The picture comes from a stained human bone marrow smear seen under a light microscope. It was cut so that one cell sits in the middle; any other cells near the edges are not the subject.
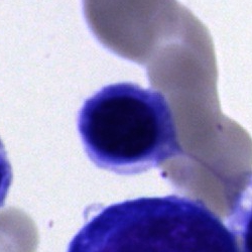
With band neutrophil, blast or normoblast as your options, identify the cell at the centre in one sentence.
The cell centered in this field of view is a normoblast.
